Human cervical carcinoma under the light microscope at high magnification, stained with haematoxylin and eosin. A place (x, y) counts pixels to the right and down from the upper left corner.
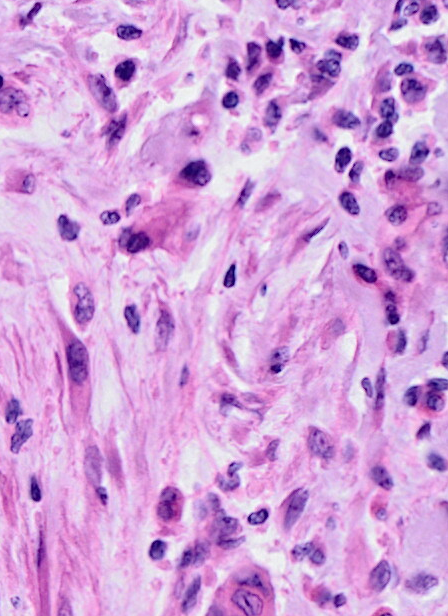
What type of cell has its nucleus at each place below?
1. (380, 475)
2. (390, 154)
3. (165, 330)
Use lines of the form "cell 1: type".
cell 1: macrophage or monocyte
cell 2: lymphocyte
cell 3: fibroblast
